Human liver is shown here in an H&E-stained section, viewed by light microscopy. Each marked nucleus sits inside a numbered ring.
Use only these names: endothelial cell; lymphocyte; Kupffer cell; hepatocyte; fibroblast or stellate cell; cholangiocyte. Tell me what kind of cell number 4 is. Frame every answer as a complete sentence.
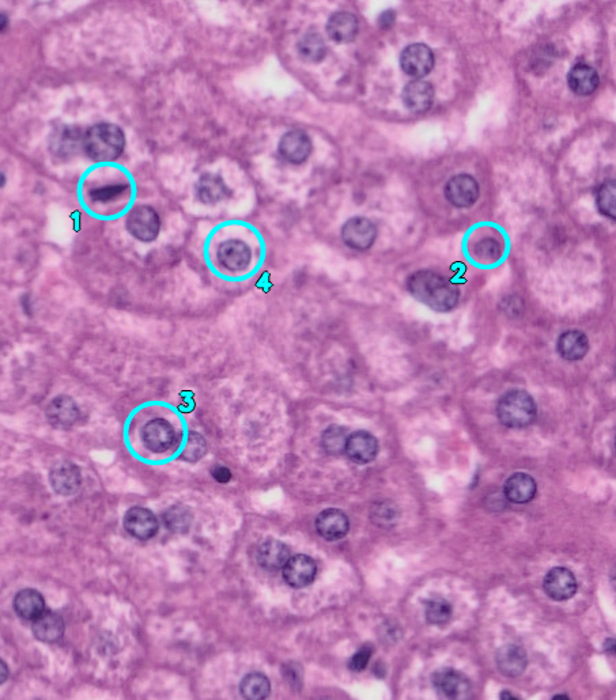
Nucleus 4 in this section belongs to a hepatocyte.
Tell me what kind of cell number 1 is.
The numbered cell 1 is identified here as a fibroblast or stellate cell.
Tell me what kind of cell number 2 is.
In the marked set, the cell given number 2 is a Kupffer cell.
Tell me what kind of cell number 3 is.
In this section, the cell numbered 3 is a hepatocyte.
